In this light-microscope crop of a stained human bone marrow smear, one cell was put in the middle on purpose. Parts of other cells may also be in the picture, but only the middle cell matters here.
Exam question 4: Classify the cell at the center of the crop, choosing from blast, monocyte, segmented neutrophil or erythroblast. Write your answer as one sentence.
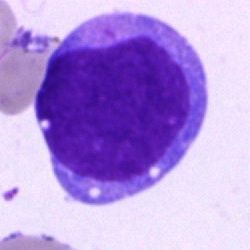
Of the cells in this crop, the central one is a blast.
